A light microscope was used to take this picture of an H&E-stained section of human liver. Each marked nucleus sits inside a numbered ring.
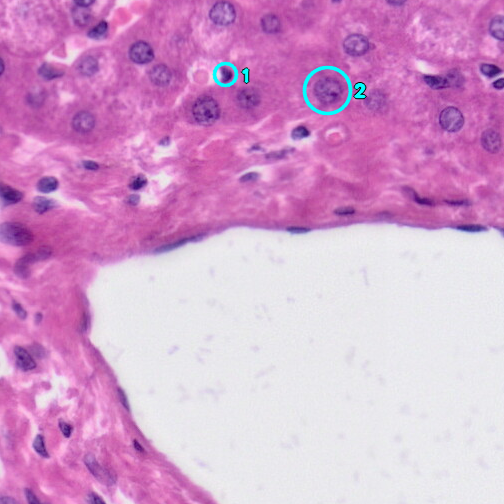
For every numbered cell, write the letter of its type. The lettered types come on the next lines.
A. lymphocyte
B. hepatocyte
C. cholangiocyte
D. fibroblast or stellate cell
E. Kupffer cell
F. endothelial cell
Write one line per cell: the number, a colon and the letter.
1: D
2: B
